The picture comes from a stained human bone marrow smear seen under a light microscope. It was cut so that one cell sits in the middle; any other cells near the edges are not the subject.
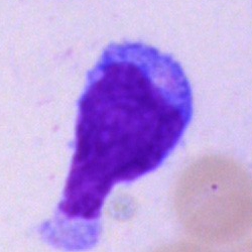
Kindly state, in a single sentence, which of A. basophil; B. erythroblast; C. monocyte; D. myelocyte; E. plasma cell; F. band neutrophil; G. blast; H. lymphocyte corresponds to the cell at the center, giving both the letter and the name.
Option G is the correct option, with the middle cell being a blast.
